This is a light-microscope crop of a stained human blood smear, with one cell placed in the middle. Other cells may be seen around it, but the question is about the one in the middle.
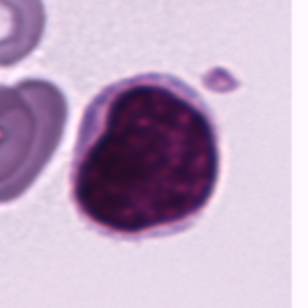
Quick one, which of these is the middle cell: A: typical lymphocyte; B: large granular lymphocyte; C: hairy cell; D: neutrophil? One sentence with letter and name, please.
The middle of the crop contains a large granular lymphocyte, so option B is right.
